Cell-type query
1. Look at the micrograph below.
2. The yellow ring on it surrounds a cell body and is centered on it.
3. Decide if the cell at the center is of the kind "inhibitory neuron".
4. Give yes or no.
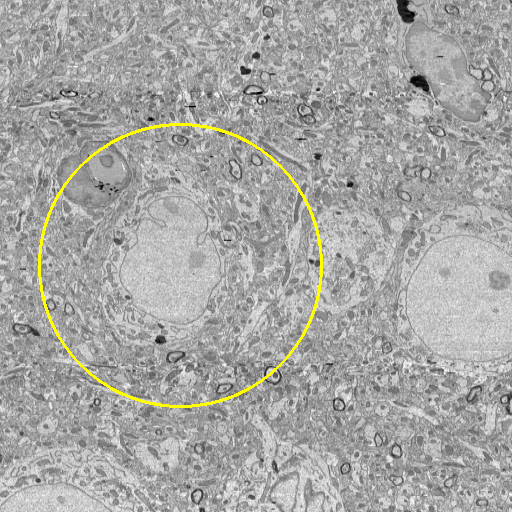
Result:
yes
